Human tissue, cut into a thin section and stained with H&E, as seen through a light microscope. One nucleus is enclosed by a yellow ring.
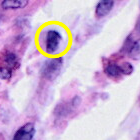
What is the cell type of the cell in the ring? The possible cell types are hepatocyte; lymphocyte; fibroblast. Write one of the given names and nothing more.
lymphocyte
